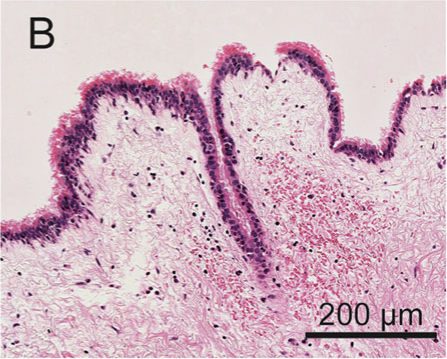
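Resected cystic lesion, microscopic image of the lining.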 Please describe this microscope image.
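Along the free surface runs a single, tall layer of columnar cells. Their oval, dark purple nuclei crowd at different heights, so the layer looks thicker than one cell. The epithelium follows folds and finger-like projections of the wall. Beneath it lies loose, pale pink, wispy connective tissue with scattered small dark nuclei. In places this tissue is filled with clustered red blood cells.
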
